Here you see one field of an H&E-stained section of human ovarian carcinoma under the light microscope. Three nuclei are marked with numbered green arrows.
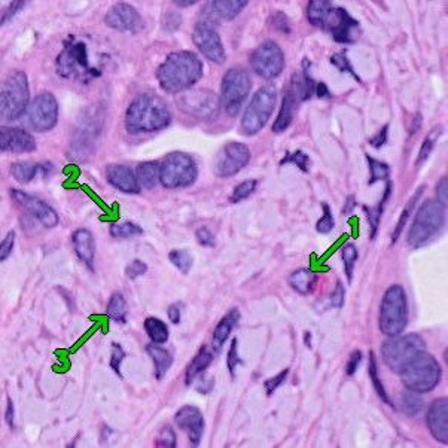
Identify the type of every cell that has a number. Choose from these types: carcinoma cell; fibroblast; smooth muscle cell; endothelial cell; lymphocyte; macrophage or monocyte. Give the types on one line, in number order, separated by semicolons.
endothelial cell; fibroblast; fibroblast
